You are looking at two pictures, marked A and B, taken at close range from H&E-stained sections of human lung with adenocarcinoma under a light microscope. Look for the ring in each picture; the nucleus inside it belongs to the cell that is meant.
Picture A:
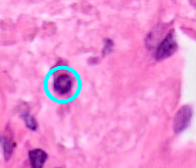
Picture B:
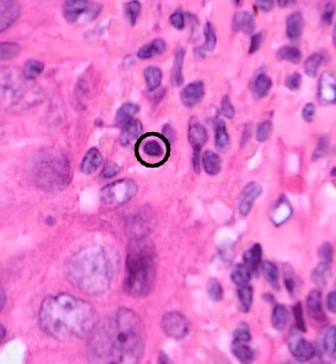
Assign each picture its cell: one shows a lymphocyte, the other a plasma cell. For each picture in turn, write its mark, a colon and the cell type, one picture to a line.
A: plasma cell
B: lymphocyte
